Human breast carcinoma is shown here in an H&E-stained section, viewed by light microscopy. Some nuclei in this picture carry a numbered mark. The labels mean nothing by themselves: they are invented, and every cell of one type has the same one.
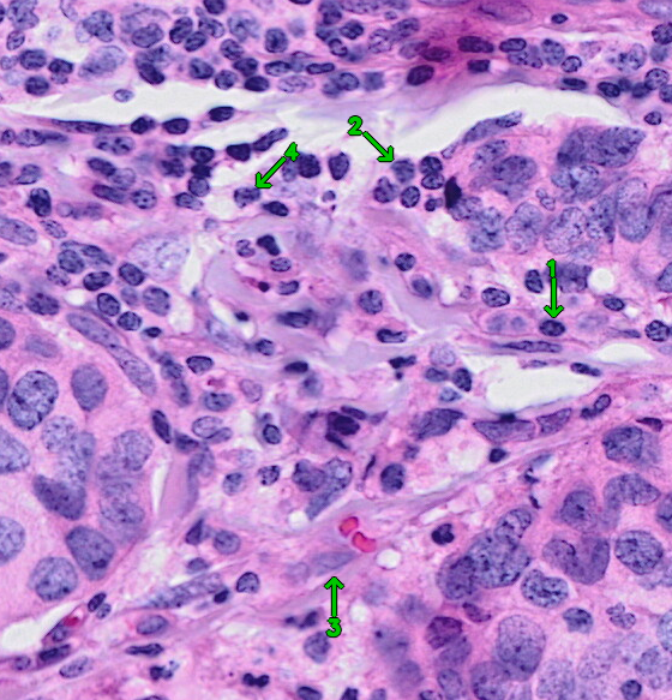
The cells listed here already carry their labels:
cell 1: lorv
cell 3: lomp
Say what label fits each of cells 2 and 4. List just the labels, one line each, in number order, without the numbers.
lorv
lorv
